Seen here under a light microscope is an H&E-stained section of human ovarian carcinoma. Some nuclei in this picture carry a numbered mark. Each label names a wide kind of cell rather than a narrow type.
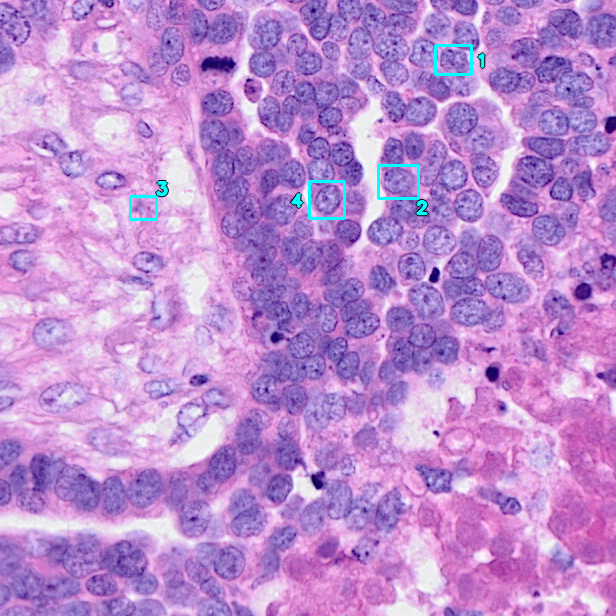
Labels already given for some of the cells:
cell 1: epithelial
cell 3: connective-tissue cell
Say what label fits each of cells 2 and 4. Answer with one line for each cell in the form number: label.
2: epithelial
4: epithelial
